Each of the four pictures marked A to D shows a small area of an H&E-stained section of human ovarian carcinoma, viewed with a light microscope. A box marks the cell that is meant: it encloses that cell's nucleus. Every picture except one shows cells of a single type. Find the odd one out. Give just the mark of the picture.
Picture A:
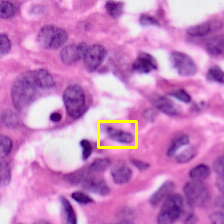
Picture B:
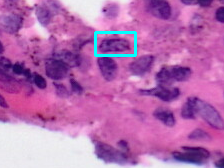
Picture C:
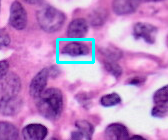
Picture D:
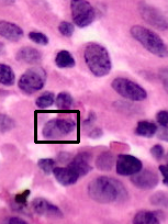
C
